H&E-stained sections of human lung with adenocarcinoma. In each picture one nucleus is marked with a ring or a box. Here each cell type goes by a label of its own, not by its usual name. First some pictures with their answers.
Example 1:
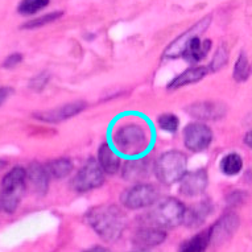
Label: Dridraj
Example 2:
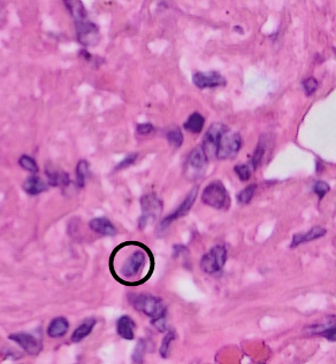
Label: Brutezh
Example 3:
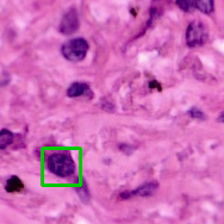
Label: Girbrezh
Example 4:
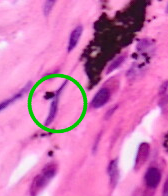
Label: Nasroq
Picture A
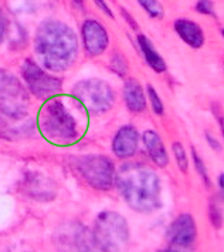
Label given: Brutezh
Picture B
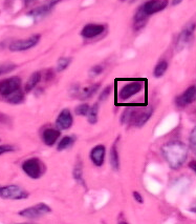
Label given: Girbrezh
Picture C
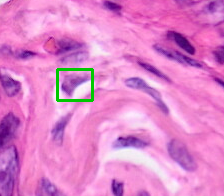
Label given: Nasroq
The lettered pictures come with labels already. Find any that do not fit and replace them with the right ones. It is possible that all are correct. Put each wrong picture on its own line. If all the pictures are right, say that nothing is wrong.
A: not Brutezh but Dridraj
